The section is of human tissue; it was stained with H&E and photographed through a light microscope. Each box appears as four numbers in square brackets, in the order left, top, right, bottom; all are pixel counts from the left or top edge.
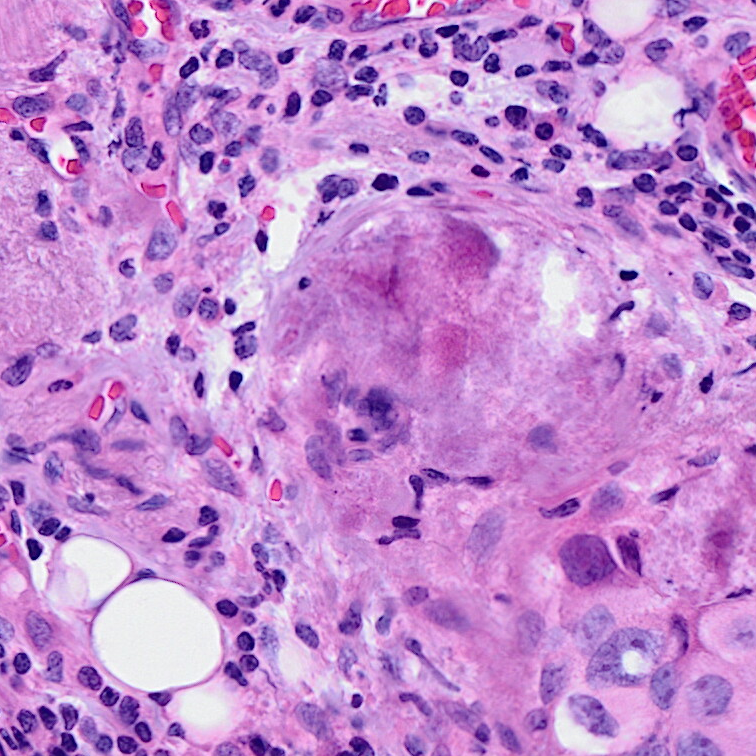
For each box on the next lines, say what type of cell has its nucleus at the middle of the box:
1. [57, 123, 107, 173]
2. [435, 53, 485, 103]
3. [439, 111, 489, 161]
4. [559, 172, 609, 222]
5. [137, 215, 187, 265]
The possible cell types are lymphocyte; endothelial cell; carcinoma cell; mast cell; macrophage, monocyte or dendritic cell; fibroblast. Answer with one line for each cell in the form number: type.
1: endothelial cell
2: lymphocyte
3: lymphocyte
4: lymphocyte
5: endothelial cell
